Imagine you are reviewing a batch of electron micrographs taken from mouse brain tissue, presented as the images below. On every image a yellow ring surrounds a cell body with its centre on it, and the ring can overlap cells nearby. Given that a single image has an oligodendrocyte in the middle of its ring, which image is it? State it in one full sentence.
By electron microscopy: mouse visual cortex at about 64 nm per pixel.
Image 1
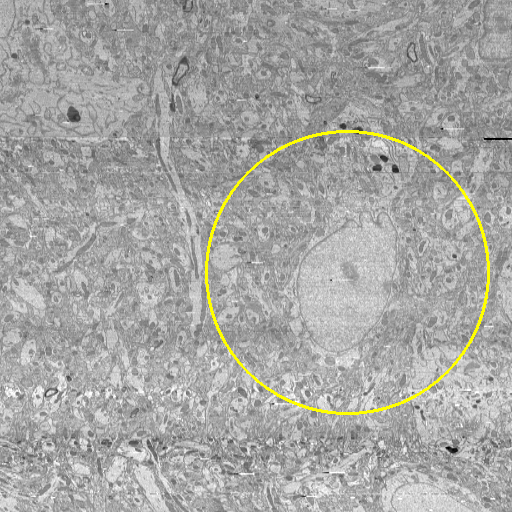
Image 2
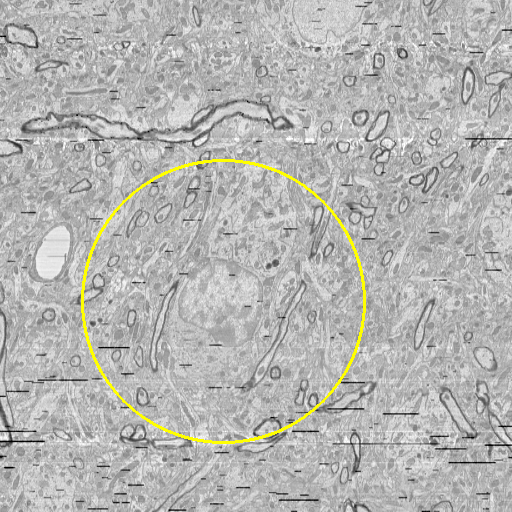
Of all the images, number 2 has the described cell at the centre of its ring.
